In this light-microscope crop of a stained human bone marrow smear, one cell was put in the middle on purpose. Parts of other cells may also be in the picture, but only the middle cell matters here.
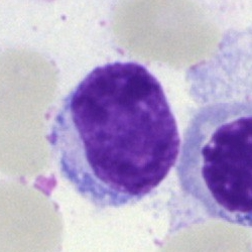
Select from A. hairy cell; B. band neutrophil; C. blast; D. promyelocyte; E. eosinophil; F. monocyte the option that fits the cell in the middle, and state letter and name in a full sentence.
In the middle of the crop is a hairy cell; option A is therefore correct.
